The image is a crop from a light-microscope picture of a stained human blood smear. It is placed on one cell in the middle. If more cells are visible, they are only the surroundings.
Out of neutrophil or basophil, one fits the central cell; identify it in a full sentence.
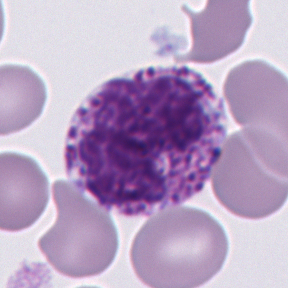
This particular crop is centered on a basophil.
